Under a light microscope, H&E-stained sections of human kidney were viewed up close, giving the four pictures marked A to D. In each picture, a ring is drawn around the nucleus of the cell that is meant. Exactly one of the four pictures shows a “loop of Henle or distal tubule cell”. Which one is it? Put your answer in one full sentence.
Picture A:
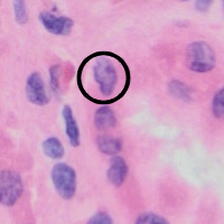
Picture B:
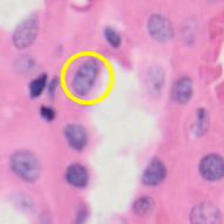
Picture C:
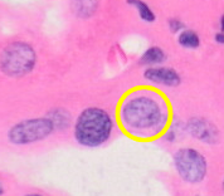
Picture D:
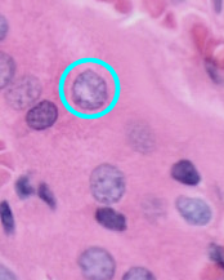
It is picture B that shows the “loop of Henle or distal tubule cell”.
